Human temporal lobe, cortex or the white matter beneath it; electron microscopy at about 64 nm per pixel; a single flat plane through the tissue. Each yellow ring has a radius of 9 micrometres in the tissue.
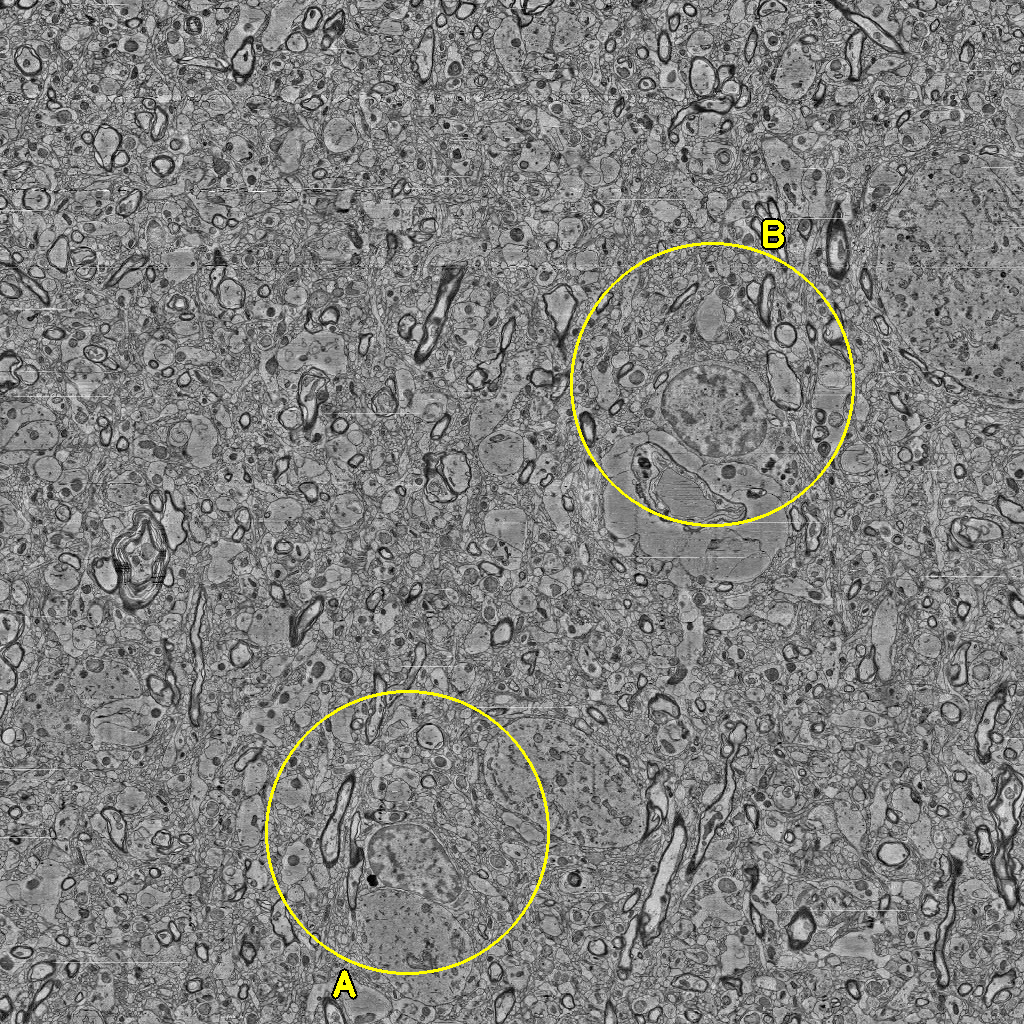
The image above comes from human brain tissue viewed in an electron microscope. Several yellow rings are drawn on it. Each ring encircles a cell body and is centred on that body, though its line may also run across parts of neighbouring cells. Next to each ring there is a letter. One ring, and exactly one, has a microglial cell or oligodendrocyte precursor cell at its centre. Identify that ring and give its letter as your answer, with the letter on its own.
A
